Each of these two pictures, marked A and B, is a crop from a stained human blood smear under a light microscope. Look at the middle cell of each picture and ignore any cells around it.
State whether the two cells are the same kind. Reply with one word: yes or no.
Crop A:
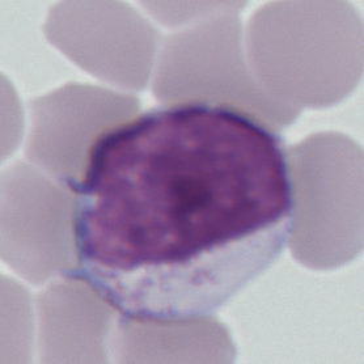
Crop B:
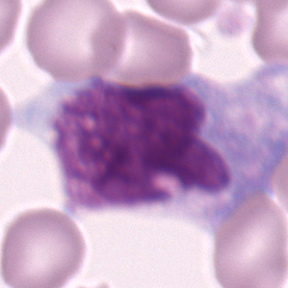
no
